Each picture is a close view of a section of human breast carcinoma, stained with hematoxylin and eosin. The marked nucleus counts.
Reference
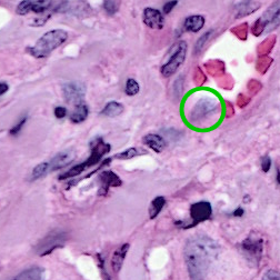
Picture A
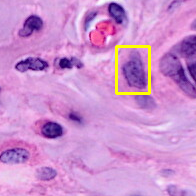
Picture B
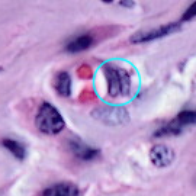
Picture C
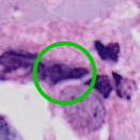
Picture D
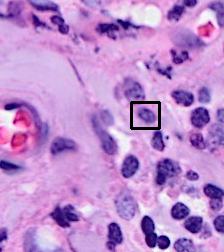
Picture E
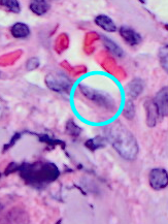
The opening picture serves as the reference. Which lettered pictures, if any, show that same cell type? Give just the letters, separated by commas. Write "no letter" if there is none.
A, B, E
